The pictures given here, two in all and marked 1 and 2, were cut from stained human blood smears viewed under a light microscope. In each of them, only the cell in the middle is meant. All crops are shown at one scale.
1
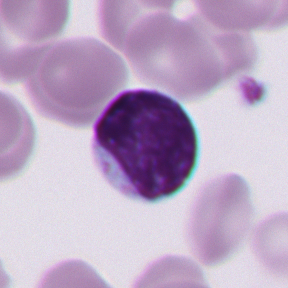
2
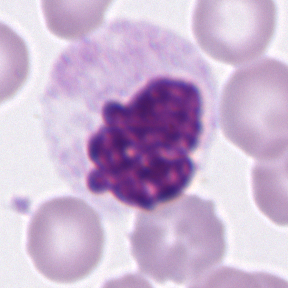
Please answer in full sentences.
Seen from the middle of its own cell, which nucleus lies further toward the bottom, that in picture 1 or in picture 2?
In picture 2 the nucleus is shifted more toward the bottom.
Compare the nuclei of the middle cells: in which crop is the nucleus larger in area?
Picture 2 shows the larger nucleus; it covers about 1.5 times the area of the nucleus in picture 1.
